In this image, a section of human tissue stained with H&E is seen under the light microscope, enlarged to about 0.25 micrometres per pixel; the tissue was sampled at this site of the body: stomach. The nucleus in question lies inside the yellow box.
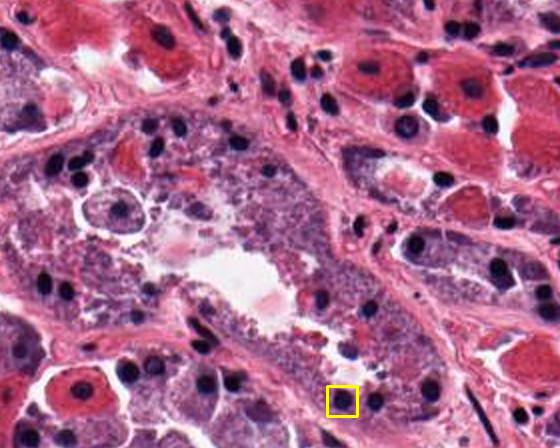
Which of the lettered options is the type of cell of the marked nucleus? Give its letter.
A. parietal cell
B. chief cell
B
